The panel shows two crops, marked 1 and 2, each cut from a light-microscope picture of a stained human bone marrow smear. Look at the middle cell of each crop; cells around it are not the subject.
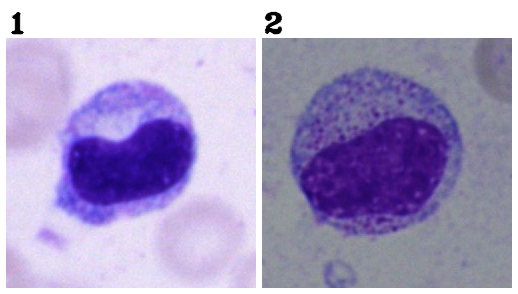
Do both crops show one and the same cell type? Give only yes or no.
yes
